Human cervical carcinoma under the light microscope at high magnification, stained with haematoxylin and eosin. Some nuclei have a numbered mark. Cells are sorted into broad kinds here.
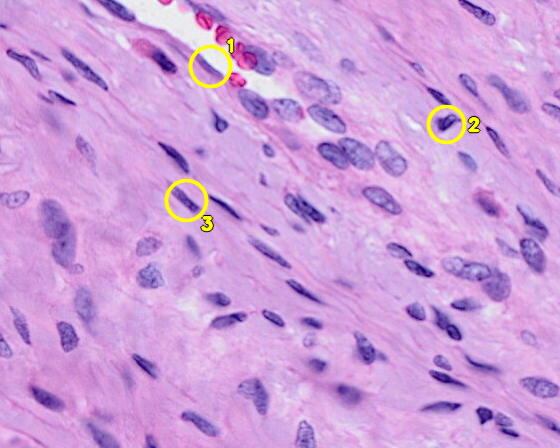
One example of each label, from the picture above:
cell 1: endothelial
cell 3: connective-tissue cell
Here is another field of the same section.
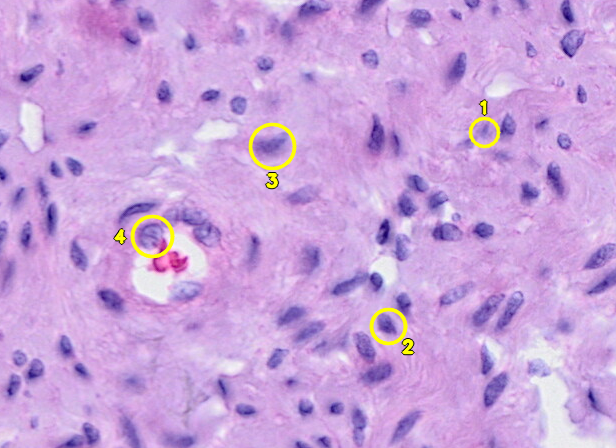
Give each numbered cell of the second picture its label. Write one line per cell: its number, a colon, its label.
1: connective-tissue cell
2: connective-tissue cell
3: connective-tissue cell
4: endothelial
